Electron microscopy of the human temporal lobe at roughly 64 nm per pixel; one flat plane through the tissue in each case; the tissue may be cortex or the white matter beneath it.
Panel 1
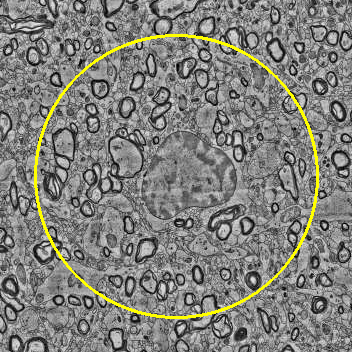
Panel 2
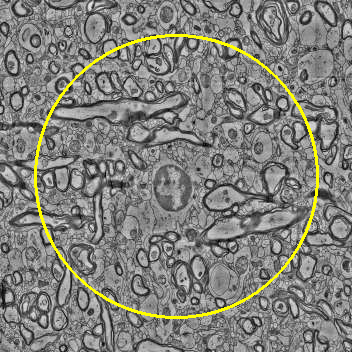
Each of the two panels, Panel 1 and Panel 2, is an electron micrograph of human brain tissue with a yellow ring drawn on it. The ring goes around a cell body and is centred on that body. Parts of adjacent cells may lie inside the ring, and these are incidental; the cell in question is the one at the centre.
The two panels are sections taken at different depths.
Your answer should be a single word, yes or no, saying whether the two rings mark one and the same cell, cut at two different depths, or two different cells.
no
